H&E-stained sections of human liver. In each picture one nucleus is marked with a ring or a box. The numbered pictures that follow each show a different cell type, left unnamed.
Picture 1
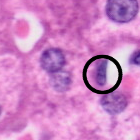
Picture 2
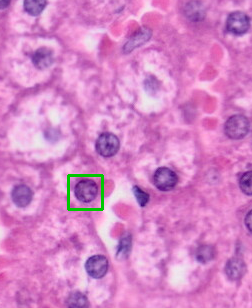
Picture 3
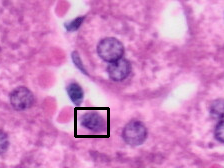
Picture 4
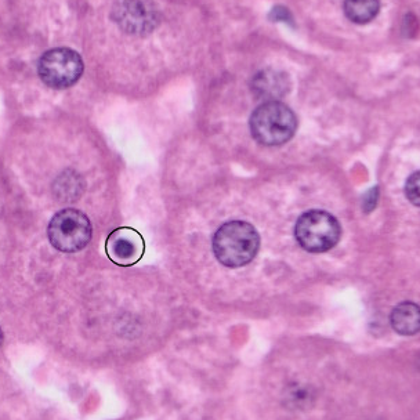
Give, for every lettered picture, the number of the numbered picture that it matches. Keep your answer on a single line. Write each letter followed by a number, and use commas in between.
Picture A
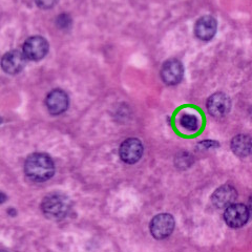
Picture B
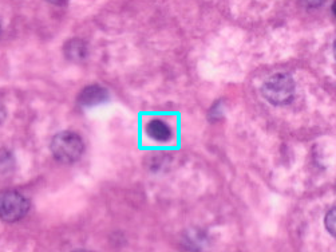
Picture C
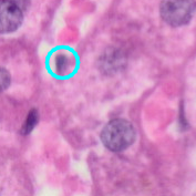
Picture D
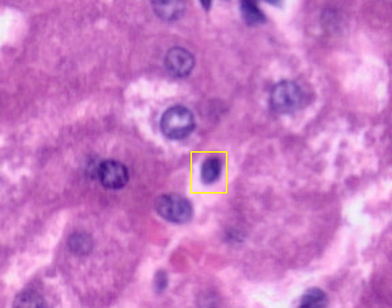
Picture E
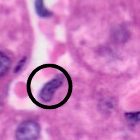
A 4, B 4, C 4, D 4, E 3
